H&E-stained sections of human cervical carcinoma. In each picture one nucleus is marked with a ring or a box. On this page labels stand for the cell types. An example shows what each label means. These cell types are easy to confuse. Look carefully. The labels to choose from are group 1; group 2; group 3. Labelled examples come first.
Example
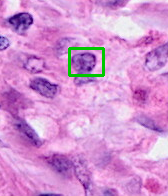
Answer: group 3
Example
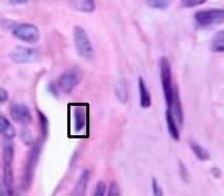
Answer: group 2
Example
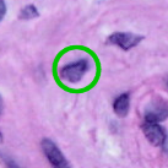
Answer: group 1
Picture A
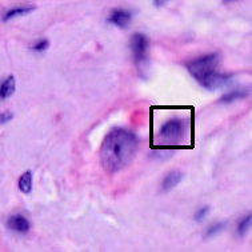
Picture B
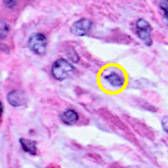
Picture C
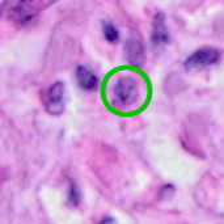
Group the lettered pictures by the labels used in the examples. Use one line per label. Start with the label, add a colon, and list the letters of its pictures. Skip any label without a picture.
group 1: B
group 2: A
group 3: C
